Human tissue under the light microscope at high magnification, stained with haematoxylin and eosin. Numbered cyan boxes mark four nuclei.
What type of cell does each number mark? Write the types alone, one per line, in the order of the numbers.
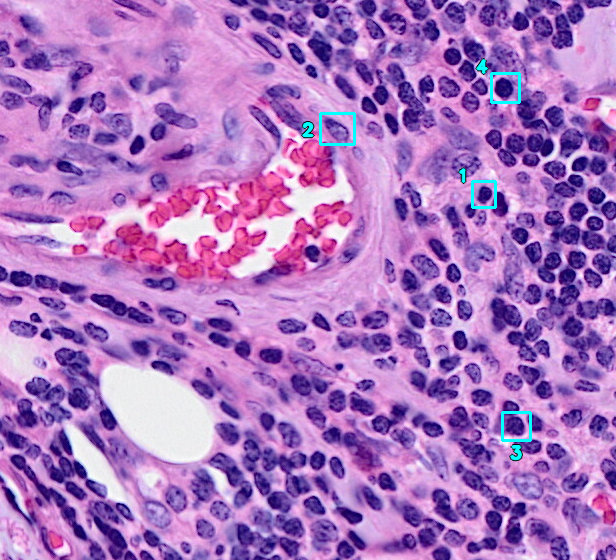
lymphocyte
endothelial cell
lymphocyte
lymphocyte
